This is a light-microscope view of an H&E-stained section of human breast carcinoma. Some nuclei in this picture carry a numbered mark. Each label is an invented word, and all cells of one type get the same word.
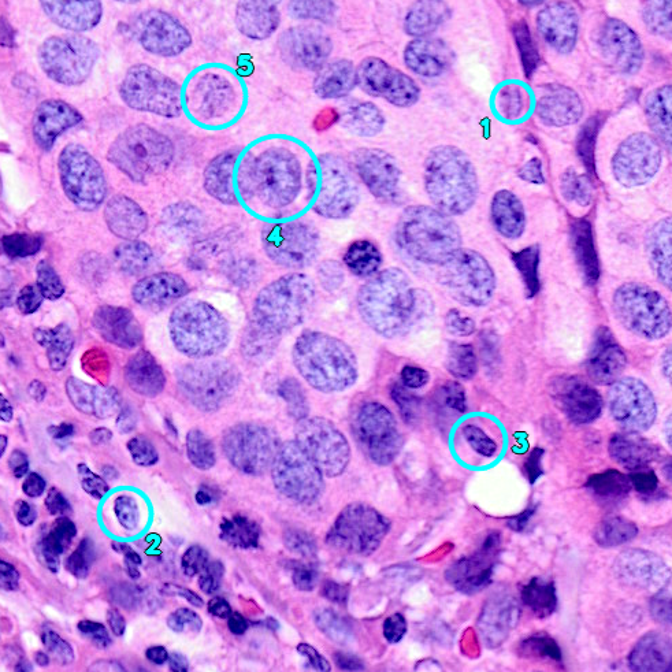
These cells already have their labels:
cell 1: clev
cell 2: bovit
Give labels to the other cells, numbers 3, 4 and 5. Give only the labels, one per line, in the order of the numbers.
bovit
clev
clev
